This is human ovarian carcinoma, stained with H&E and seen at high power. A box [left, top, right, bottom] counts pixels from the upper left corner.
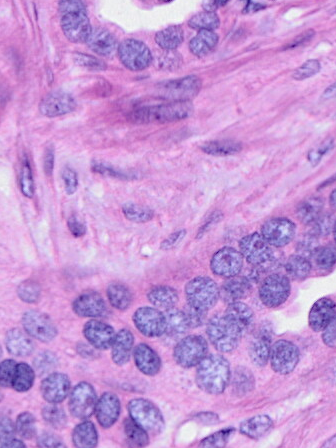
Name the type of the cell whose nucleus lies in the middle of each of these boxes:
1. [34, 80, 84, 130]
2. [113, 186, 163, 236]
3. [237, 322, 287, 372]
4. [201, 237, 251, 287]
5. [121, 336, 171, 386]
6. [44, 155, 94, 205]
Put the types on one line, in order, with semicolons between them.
fibroblast; fibroblast; carcinoma cell; carcinoma cell; carcinoma cell; fibroblast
